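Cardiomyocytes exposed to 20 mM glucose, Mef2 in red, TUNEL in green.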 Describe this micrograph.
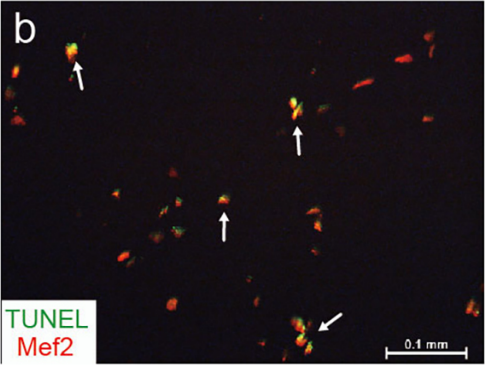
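The nuclei are not evenly spread, and several lie close together in small clusters. A number of them carry green label overlapping the red, so they look yellow to green, and the arrows point to such cells. Red nuclei without green lie among them.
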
